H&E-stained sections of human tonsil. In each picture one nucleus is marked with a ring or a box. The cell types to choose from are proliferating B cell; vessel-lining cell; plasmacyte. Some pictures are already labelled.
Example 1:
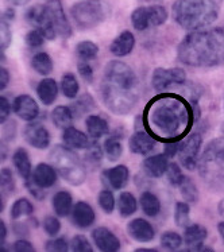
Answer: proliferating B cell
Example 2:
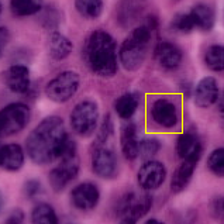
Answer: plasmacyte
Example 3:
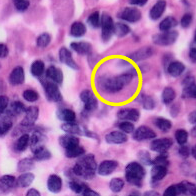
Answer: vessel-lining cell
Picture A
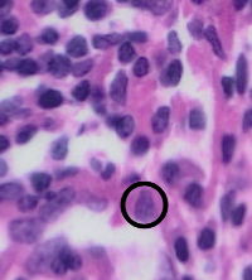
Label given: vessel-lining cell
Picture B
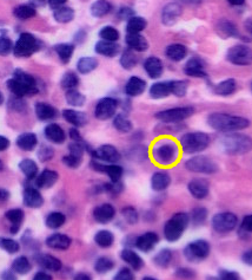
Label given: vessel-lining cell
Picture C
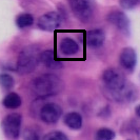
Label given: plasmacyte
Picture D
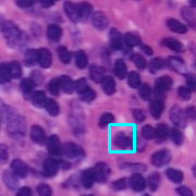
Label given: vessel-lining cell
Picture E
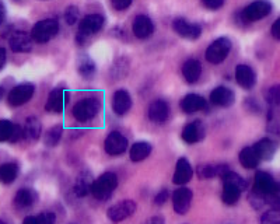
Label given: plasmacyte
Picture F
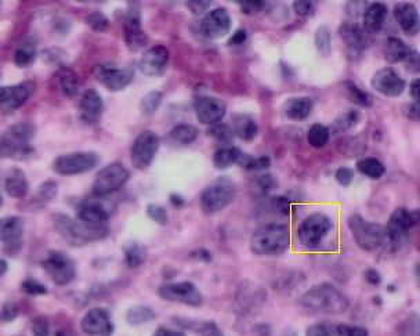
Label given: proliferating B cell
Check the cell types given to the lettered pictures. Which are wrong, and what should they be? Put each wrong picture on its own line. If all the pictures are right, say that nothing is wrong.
All correct.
